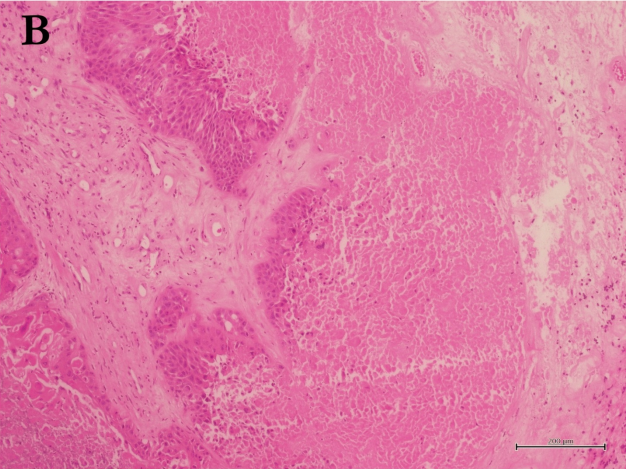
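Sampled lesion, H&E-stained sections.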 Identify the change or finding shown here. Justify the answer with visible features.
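Large pale pink areas lack intact cells and nuclear detail. Viable tumor nests with darker nuclei border these pale areas. So: necrosis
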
